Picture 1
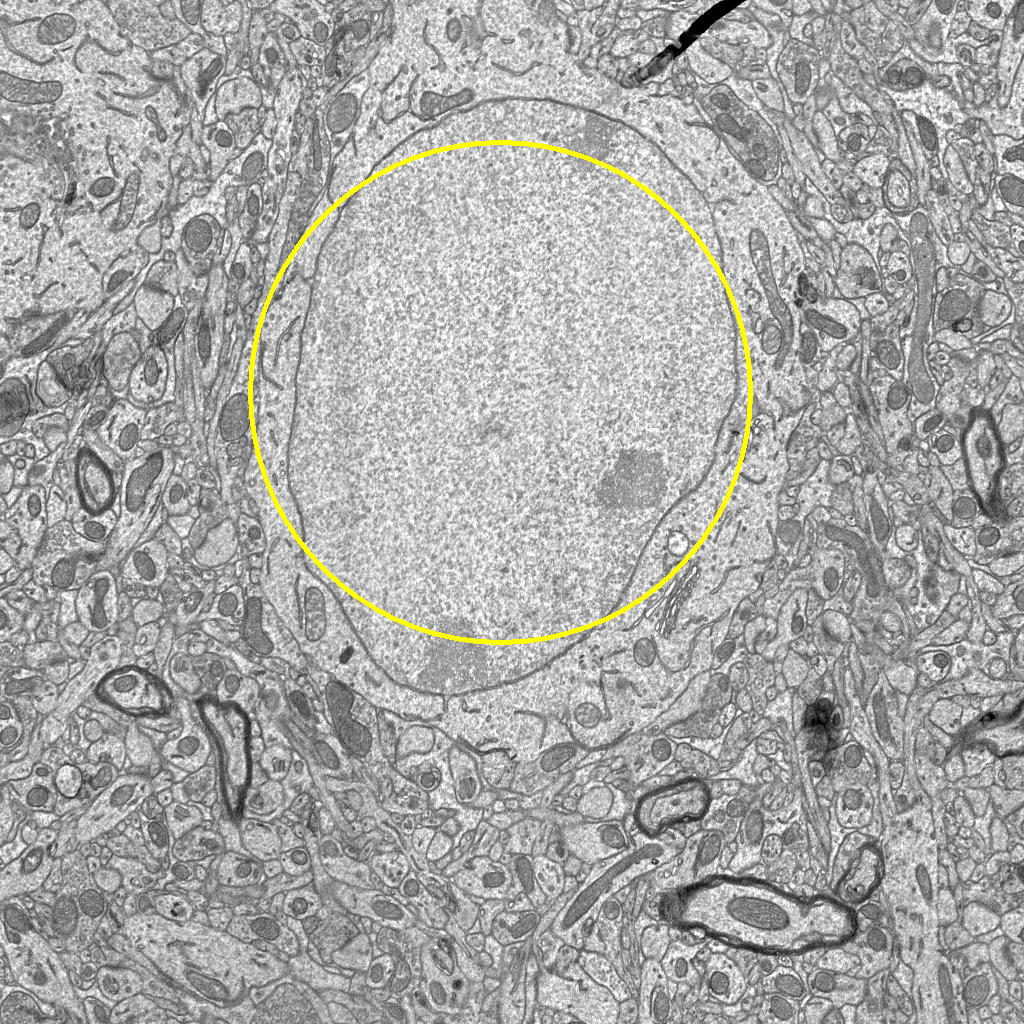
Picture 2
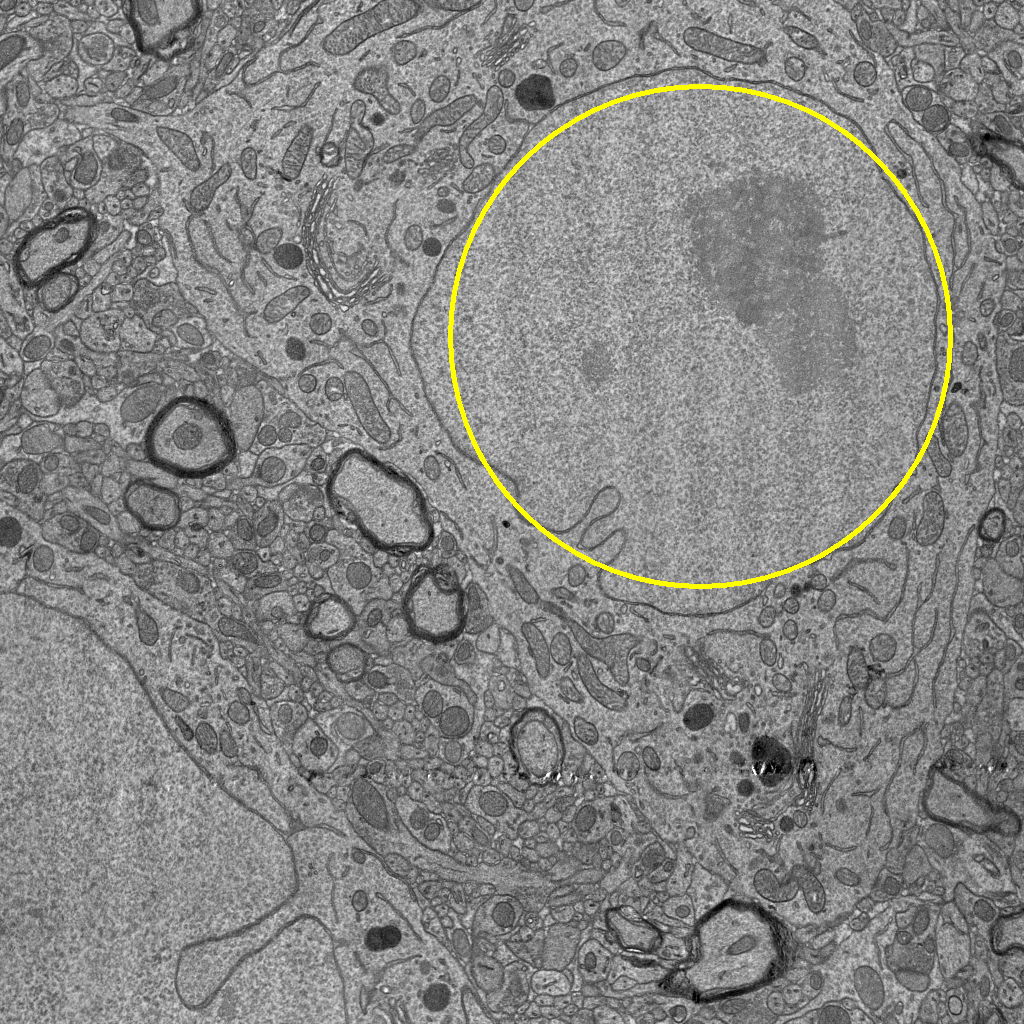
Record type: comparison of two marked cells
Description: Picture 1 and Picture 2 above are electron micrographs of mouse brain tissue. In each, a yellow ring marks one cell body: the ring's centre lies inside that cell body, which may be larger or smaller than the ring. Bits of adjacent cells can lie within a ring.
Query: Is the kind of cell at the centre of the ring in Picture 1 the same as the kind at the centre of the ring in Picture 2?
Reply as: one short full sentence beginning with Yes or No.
No, the two cells at the ring centres are of two separate kinds.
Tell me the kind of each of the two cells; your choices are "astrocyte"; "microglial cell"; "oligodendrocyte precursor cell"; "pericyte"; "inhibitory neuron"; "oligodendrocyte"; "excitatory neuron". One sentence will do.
The first is an excitatory neuron and the second is an inhibitory neuron.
